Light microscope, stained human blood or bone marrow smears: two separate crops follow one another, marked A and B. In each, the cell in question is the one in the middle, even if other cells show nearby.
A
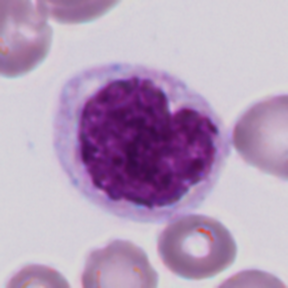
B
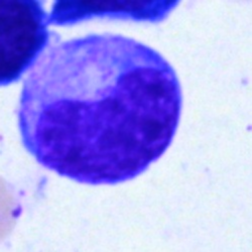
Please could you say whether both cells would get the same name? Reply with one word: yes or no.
yes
